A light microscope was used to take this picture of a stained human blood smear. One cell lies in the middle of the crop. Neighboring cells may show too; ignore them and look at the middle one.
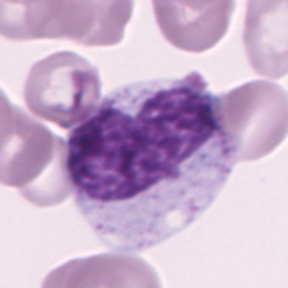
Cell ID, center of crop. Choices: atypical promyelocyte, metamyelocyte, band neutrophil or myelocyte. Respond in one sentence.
The cell under consideration, at the middle of the crop, is a metamyelocyte.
